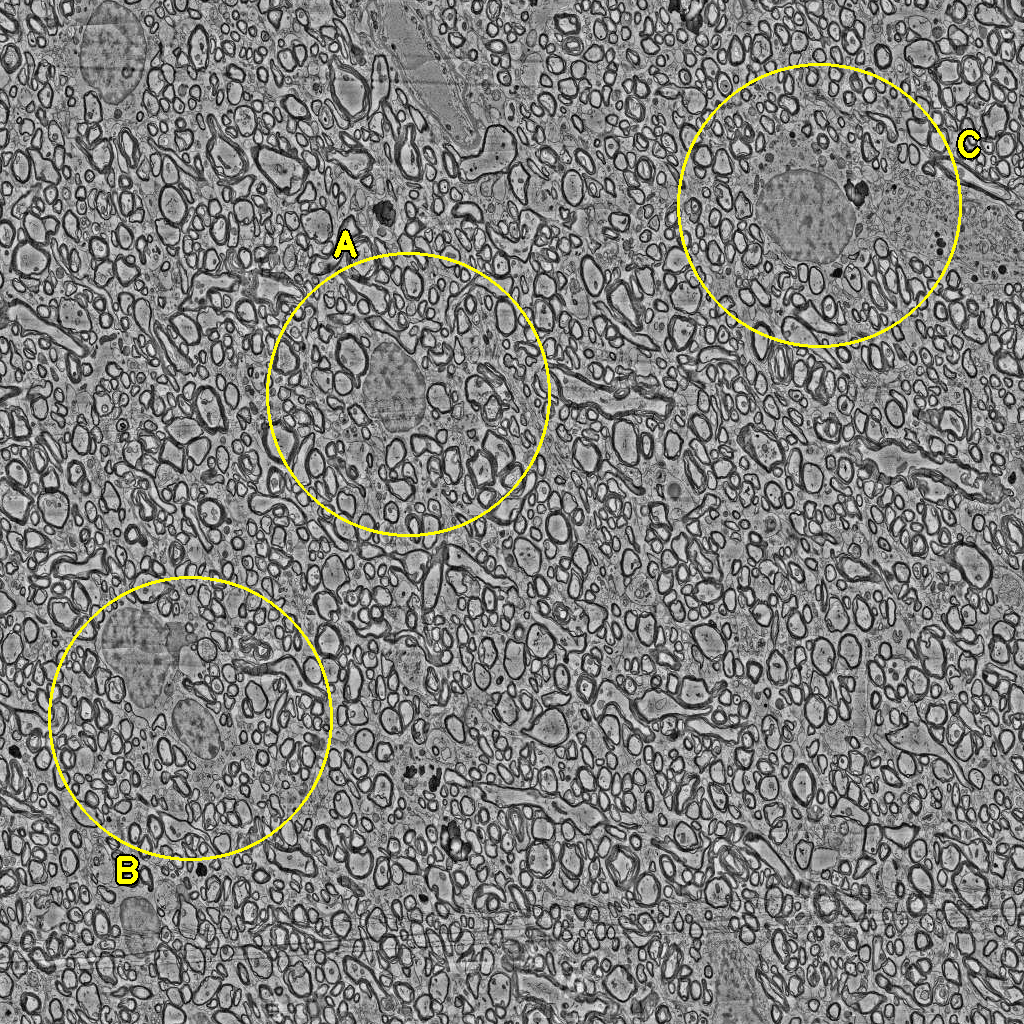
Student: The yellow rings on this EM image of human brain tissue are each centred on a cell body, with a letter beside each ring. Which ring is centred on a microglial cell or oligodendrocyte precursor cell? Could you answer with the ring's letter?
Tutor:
B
